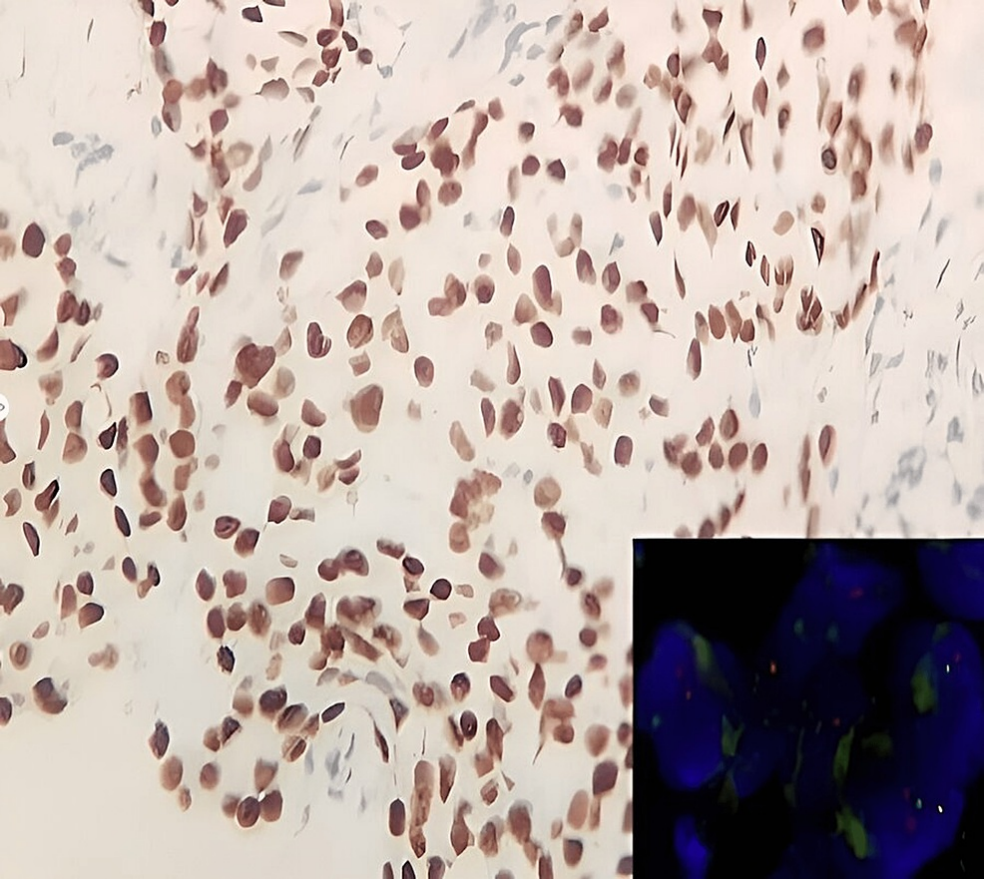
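This shows a tumor growing in crowded sheets and loose cords within a pale, loosely fibrous stroma. Nearly every tumor nucleus is stained brown. The stain is confined to the nuclei, while the cytoplasm stays pale. The nuclei are round to oval and vary somewhat in size. Some are larger and irregular, and a few are compressed into teardrop shapes. Between the cell groups run thin, elongated stromal nuclei that keep only a faint blue-grey counterstain. In the corner inset, large blue nuclei on a black fluorescent background carry small green and red dots.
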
